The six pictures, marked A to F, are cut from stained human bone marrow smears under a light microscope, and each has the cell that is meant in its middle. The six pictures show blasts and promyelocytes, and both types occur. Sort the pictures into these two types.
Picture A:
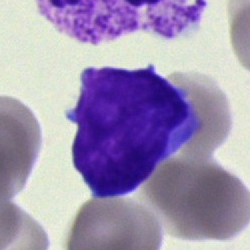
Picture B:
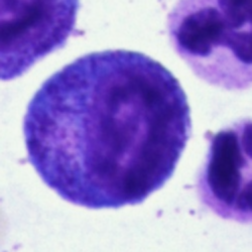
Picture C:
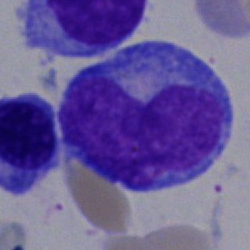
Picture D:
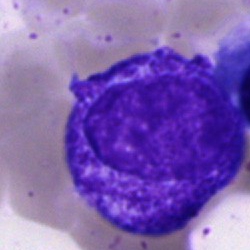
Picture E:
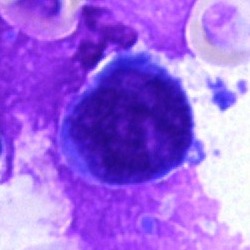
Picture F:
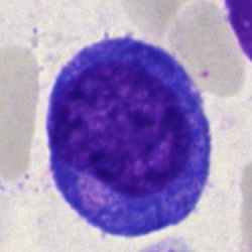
A: blast
B: promyelocyte
C: blast
D: promyelocyte
E: blast
F: promyelocyte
